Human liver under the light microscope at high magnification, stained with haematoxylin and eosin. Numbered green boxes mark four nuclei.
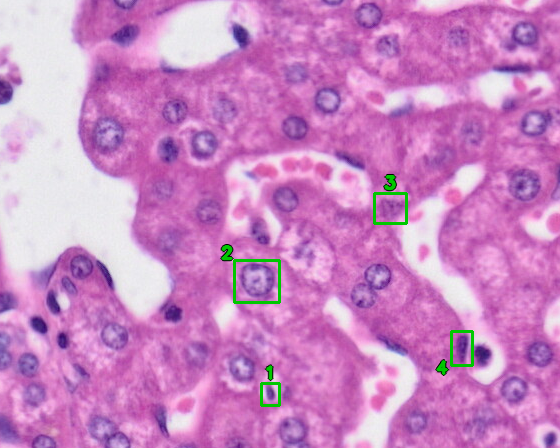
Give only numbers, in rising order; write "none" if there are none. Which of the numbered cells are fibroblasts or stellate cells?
4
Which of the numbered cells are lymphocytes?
1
